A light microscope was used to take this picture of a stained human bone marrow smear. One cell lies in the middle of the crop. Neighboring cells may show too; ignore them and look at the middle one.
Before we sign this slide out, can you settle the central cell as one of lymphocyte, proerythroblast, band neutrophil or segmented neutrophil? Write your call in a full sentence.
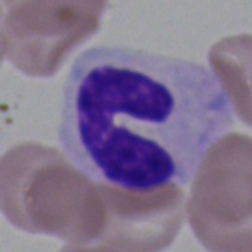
The cell around which this crop is centred is a band neutrophil.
